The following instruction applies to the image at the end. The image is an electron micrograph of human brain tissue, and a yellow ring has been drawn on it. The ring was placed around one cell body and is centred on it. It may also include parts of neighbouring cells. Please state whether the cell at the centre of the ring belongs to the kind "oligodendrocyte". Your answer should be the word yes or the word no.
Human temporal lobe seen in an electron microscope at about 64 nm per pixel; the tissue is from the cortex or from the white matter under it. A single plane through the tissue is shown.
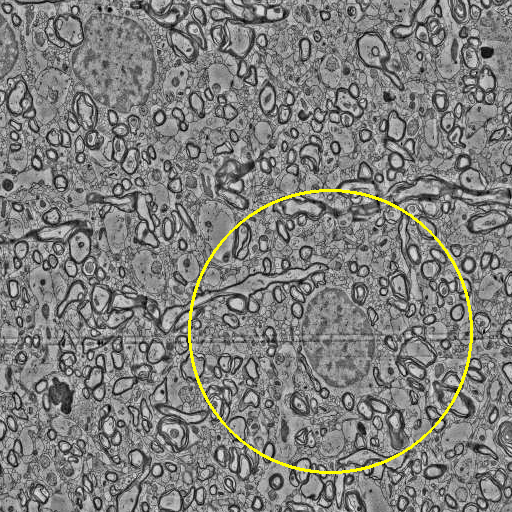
yes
